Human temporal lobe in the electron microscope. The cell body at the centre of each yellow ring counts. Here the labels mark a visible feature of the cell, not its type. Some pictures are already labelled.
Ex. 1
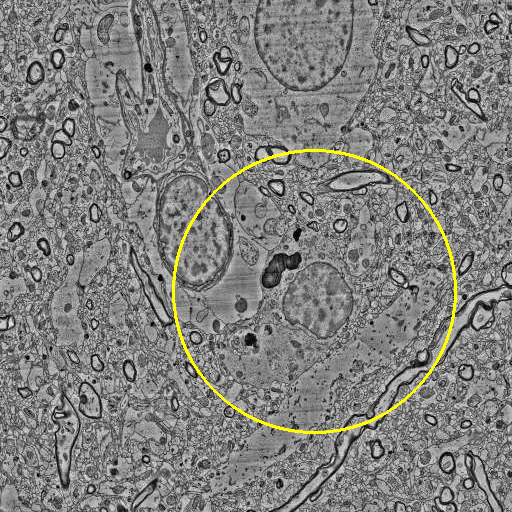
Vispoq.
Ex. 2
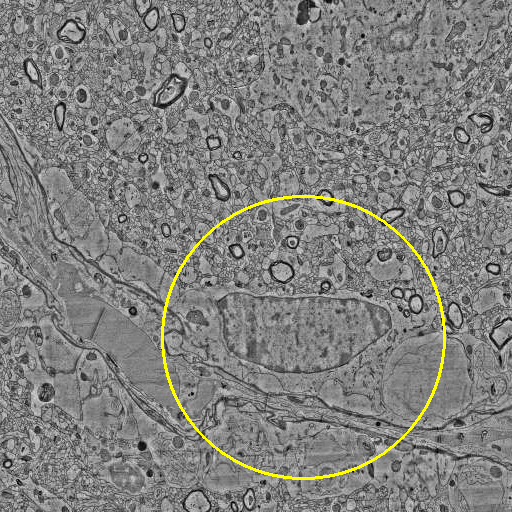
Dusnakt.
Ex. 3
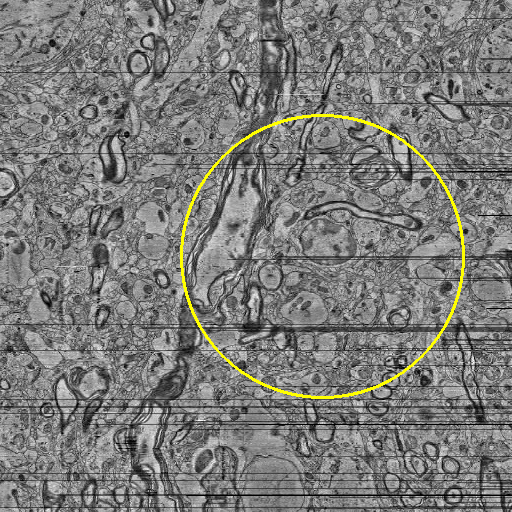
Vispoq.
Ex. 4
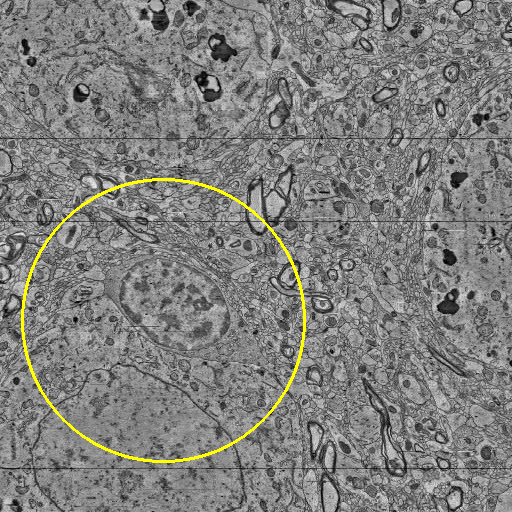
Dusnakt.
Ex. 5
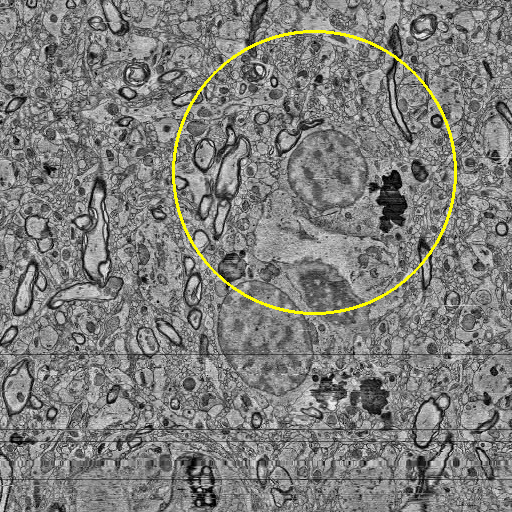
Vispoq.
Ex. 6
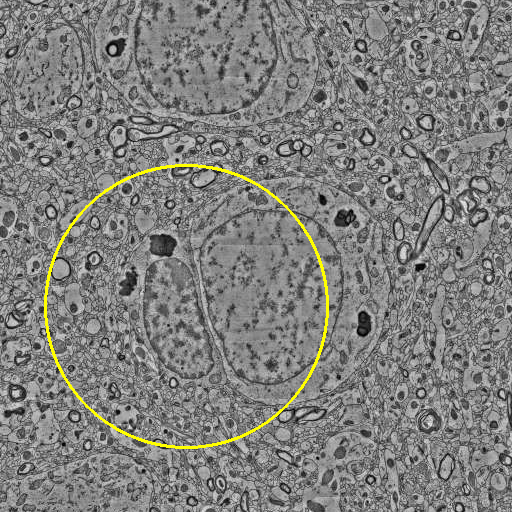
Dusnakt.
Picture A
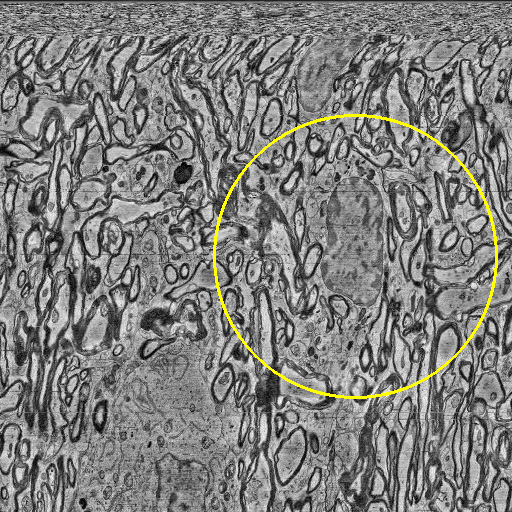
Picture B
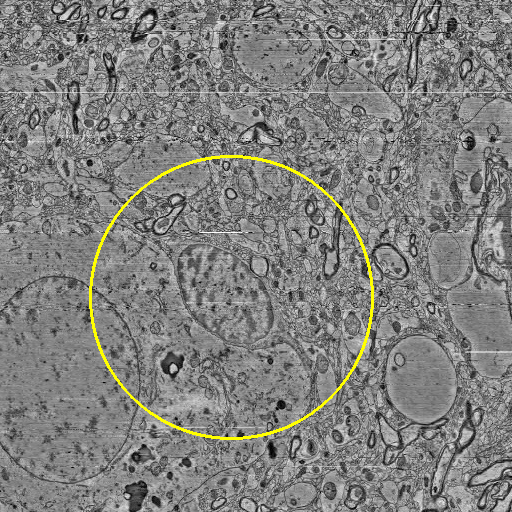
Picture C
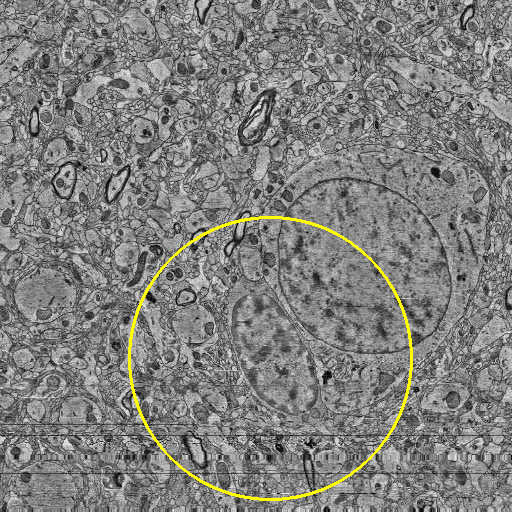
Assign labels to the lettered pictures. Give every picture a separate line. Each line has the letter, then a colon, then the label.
A: Dusnakt.
B: Dusnakt.
C: Dusnakt.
